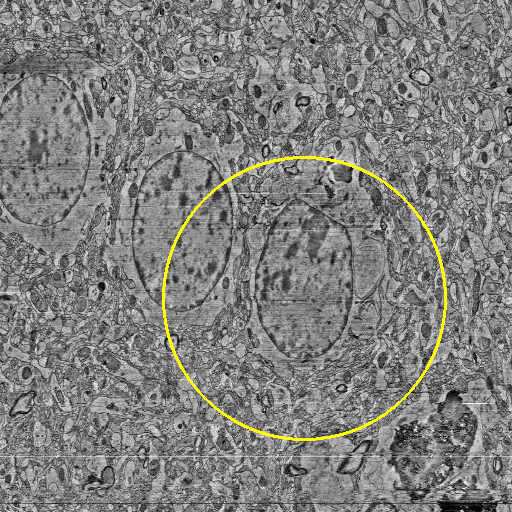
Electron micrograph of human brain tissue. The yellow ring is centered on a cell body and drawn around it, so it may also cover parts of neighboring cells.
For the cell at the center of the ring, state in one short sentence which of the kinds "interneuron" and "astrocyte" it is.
This ring is centered on an astrocyte.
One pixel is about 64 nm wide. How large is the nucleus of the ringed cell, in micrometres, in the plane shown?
The nucleus measures about 11 by 6 micrometres, so it is clearly longer than it is wide in this plane.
